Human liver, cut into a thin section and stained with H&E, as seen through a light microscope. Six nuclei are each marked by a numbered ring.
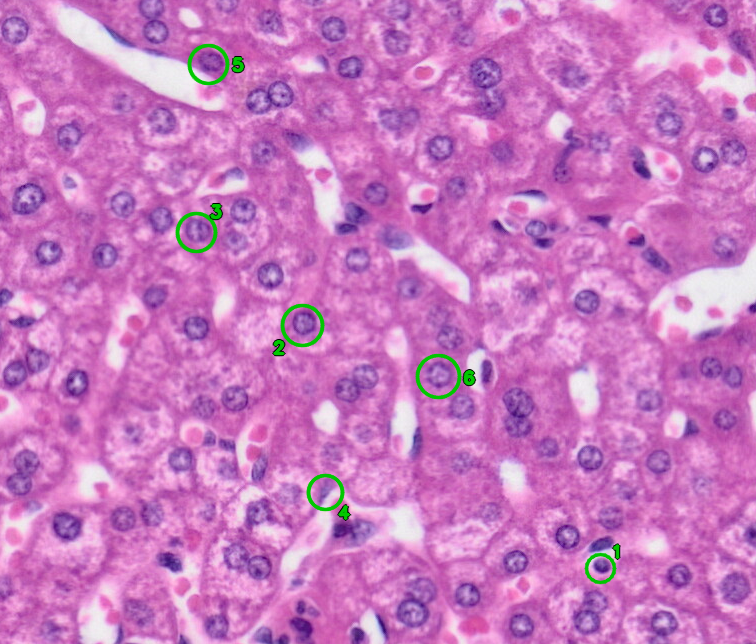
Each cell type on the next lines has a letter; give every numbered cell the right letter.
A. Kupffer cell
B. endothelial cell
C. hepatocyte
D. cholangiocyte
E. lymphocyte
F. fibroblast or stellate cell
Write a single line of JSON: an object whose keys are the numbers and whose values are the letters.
{"1": "E", "2": "C", "3": "C", "4": "B", "5": "C", "6": "C"}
